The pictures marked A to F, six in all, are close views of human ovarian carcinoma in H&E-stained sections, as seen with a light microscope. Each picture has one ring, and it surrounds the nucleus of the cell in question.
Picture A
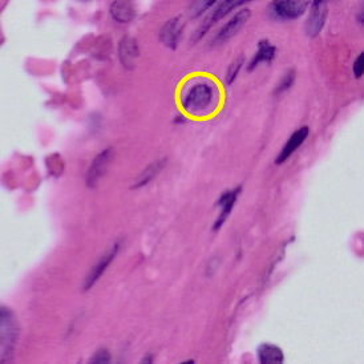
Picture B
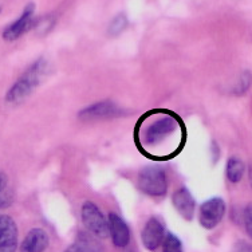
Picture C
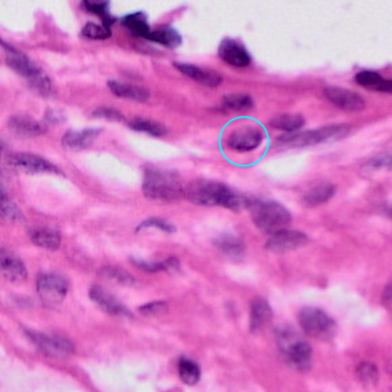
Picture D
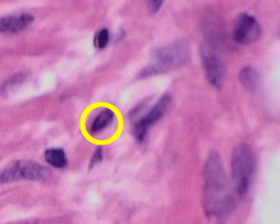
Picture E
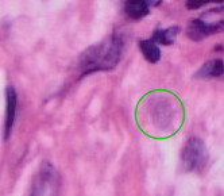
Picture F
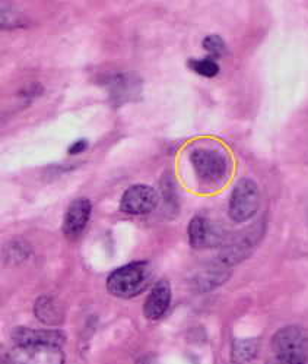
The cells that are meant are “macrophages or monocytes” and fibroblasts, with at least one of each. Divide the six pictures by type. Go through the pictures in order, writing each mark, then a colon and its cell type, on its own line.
A: macrophage or monocyte
B: macrophage or monocyte
C: fibroblast
D: fibroblast
E: fibroblast
F: macrophage or monocyte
